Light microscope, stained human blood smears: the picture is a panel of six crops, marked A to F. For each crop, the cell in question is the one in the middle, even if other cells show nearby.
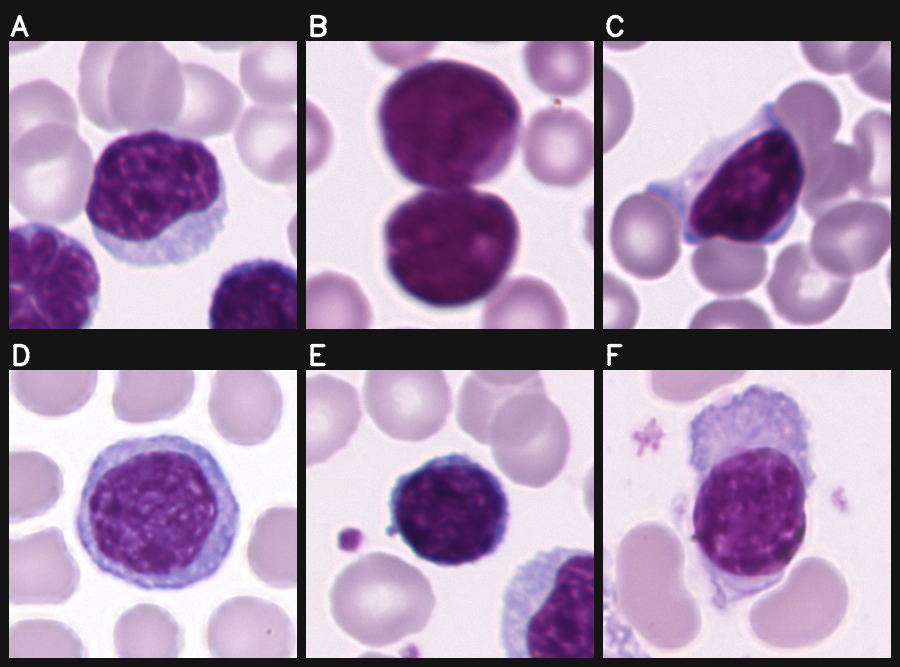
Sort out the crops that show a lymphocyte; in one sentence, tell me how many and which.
It is lymphocytes that crops A, C and E show, three crops in all.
